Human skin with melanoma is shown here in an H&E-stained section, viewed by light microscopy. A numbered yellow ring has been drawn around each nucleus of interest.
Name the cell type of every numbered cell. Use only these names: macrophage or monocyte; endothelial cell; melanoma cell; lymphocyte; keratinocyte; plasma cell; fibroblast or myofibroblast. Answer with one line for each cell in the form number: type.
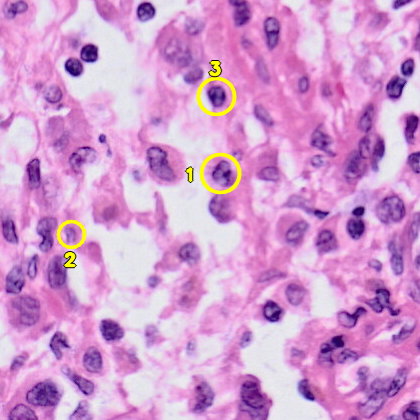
1: macrophage or monocyte
2: macrophage or monocyte
3: lymphocyte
